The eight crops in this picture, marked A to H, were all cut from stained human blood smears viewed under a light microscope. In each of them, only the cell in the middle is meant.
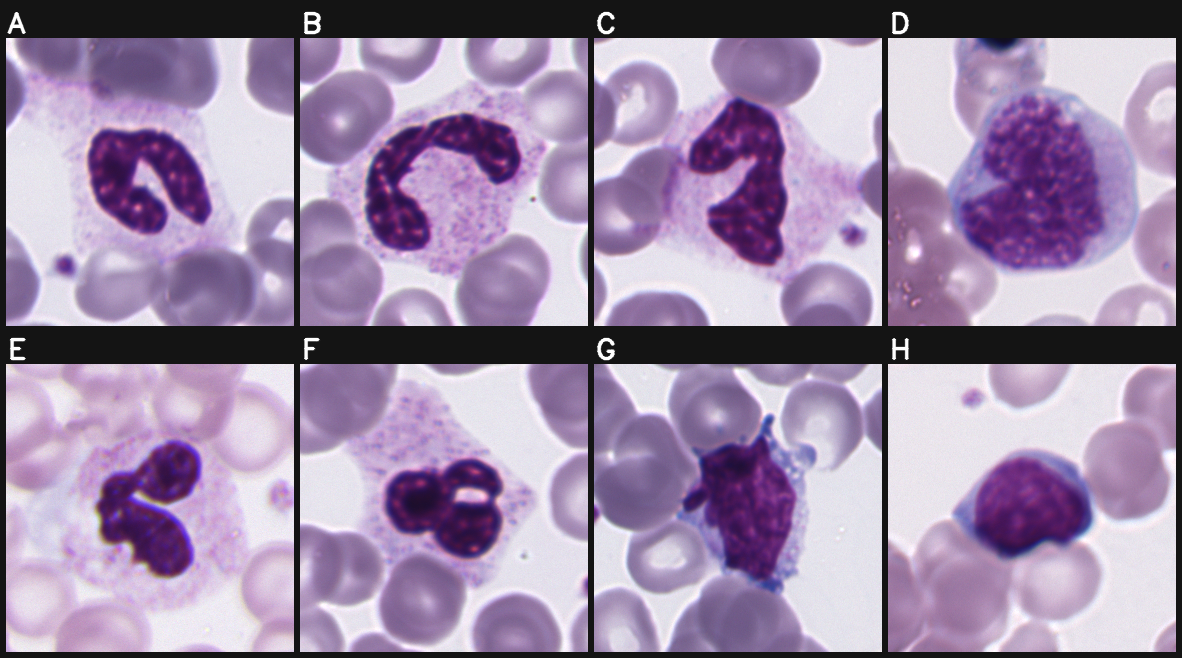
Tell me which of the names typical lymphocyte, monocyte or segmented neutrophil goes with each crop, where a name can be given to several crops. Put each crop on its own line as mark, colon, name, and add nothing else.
A: segmented neutrophil
B: segmented neutrophil
C: segmented neutrophil
D: monocyte
E: segmented neutrophil
F: segmented neutrophil
G: typical lymphocyte
H: typical lymphocyte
